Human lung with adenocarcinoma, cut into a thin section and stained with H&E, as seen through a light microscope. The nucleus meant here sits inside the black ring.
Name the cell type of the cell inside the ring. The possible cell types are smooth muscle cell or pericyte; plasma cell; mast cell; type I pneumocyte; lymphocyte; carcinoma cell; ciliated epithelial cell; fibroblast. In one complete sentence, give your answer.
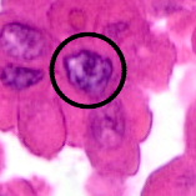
As classified here, the cell inside the ring is a carcinoma cell.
